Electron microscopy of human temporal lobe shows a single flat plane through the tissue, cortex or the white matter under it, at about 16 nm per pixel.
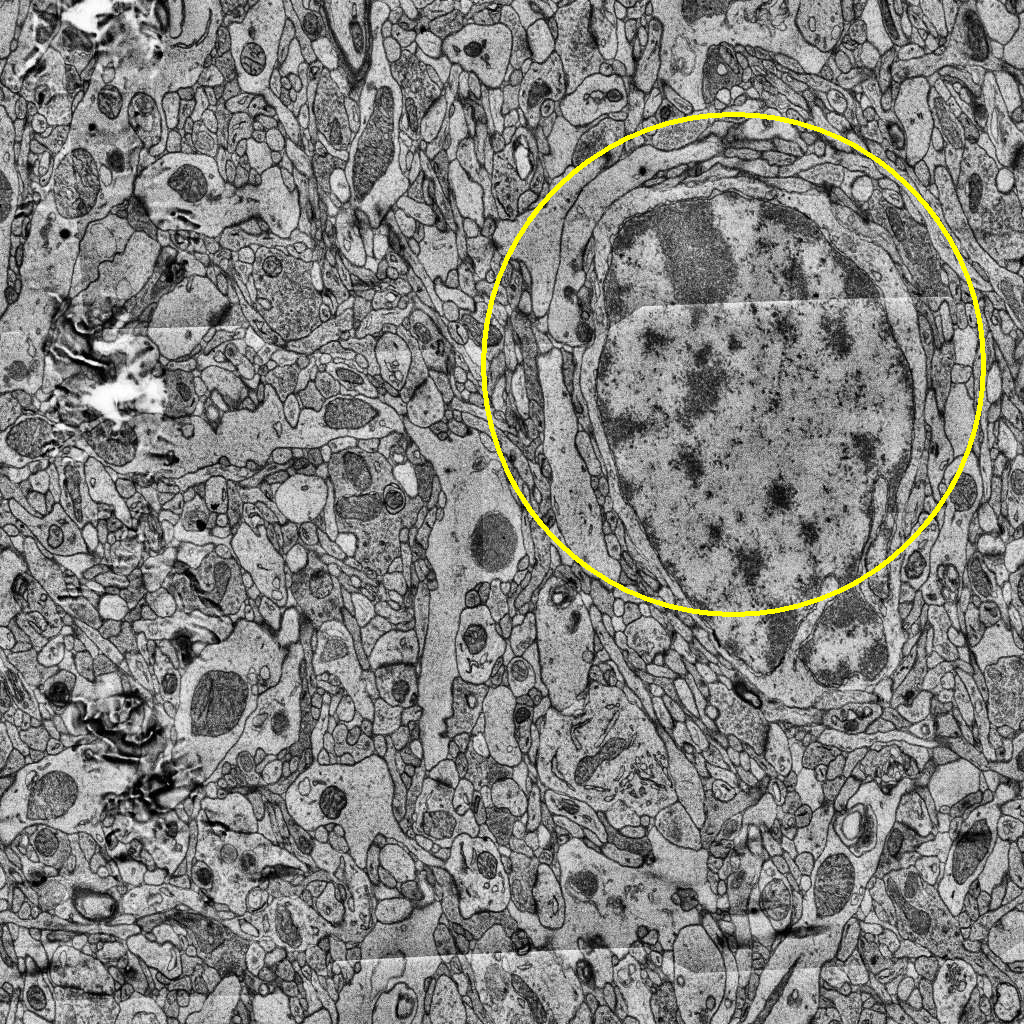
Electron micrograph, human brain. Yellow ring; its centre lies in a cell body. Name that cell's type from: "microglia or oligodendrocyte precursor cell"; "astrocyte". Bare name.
microglia or oligodendrocyte precursor cell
